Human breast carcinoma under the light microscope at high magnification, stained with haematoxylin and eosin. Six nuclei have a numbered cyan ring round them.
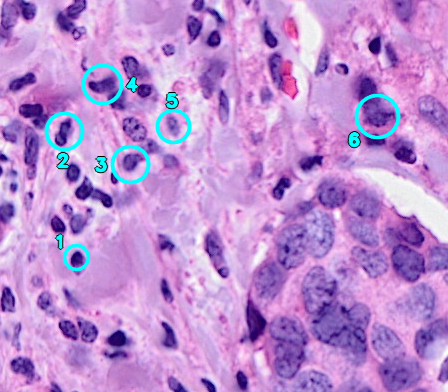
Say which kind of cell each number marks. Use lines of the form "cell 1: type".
cell 1: lymphocyte
cell 2: lymphocyte
cell 3: lymphocyte
cell 4: lymphocyte
cell 5: mast cell
cell 6: carcinoma cell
